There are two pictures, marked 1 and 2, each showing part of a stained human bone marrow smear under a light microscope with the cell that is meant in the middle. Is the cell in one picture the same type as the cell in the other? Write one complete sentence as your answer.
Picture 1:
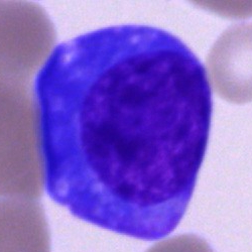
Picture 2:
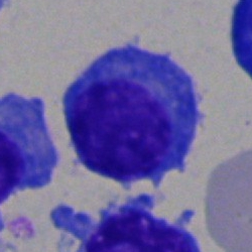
Yes, they are the same type: both are plasma cells.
